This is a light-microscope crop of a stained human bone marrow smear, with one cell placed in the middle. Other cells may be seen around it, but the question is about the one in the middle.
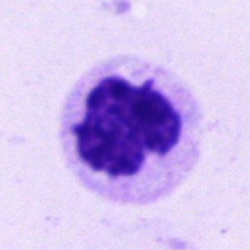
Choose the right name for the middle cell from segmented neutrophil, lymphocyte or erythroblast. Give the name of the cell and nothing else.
segmented neutrophil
